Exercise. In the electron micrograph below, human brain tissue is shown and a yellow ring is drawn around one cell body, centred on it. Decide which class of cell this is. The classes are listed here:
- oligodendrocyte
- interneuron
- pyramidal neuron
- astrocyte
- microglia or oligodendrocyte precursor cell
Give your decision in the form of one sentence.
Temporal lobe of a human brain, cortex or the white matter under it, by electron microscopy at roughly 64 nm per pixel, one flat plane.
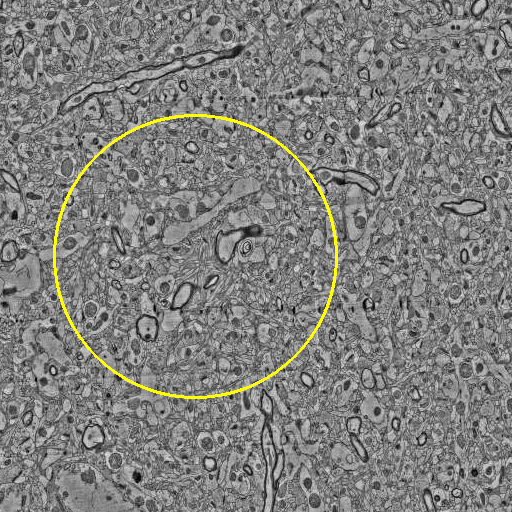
The cell body marked by the ring belongs to an oligodendrocyte.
